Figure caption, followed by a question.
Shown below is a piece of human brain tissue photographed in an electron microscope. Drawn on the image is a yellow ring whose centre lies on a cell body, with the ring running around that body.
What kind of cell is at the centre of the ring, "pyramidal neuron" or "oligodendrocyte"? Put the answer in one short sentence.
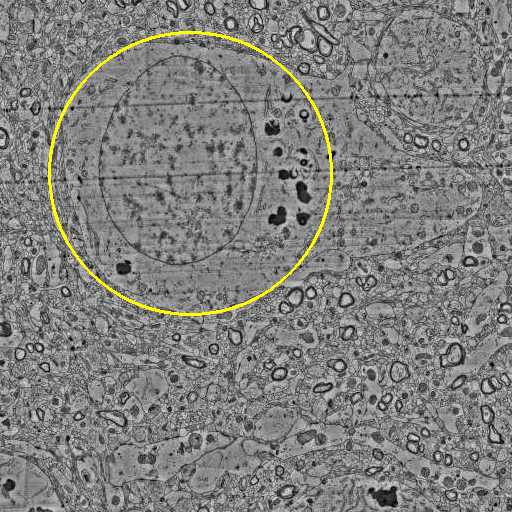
The ring marks the cell body of a pyramidal neuron.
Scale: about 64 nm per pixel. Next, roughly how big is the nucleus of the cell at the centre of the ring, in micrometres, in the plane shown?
Roughly 13 by 10 micrometres in this plane, for the nucleus of the ringed cell.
